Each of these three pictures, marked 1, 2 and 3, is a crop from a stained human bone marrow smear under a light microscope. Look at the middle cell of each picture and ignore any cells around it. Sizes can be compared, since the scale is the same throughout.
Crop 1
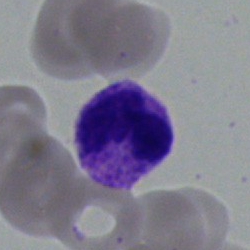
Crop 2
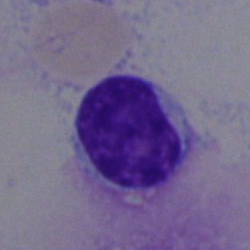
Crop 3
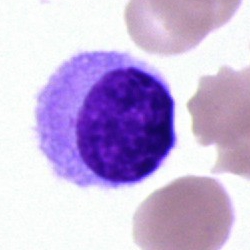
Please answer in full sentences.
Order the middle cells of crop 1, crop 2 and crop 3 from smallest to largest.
From the smallest up, the order is 1, 2, 3.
